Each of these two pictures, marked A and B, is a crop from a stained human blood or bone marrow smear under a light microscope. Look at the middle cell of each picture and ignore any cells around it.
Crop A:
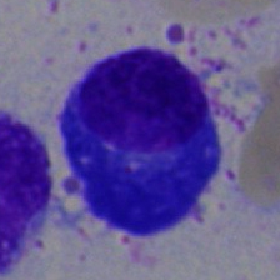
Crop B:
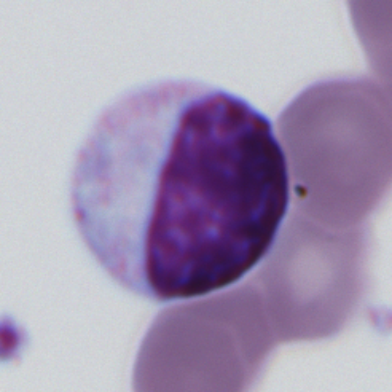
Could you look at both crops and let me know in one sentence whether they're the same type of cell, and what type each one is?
No, within crop A lies a plasma cell, and within crop B lies a lymphocyte.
